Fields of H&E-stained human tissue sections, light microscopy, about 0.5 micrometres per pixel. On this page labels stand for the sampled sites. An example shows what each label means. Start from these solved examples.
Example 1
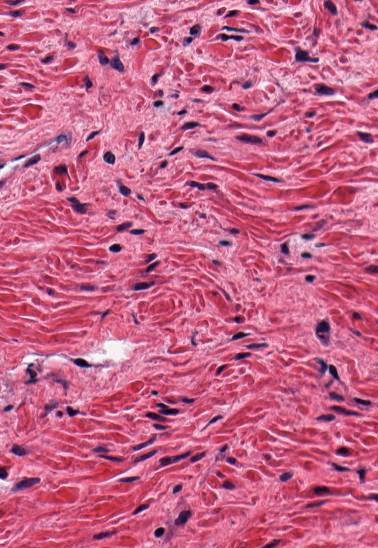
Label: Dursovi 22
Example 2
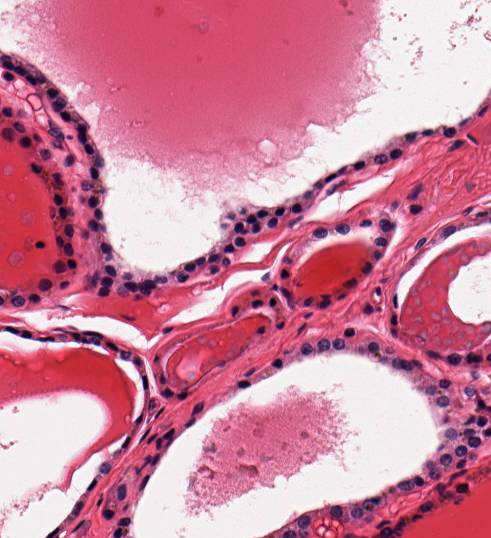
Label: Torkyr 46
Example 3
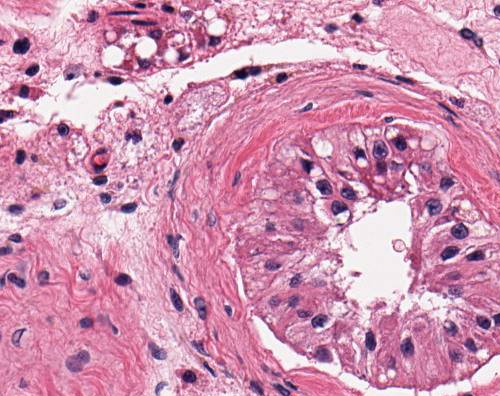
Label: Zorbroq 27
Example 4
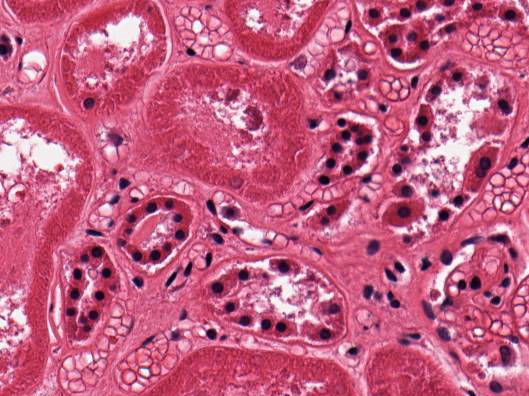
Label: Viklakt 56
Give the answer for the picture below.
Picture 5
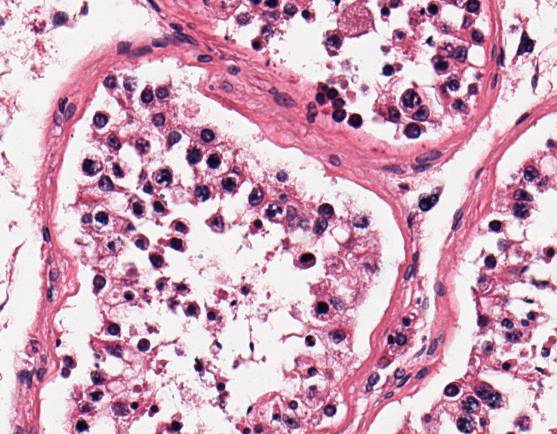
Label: Zorbroq 27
